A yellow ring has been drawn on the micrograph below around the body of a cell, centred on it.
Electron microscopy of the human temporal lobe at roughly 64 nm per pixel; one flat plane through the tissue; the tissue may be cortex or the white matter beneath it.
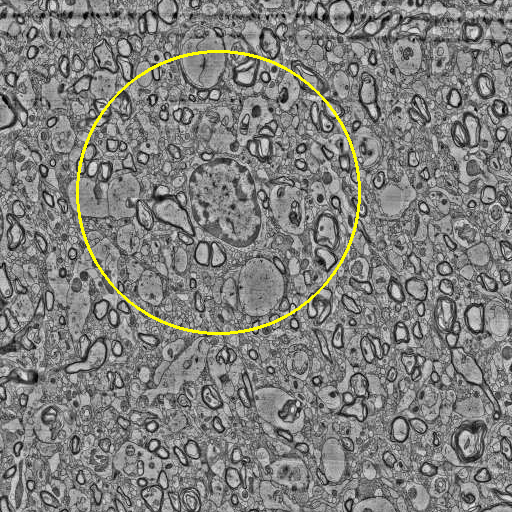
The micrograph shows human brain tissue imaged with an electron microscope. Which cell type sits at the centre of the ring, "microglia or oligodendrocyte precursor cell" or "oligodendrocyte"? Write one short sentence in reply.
The cell sitting at the centre of the ring is a microglial cell or oligodendrocyte precursor cell.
